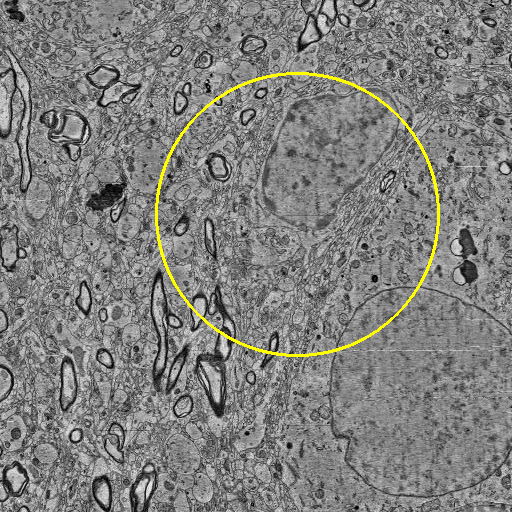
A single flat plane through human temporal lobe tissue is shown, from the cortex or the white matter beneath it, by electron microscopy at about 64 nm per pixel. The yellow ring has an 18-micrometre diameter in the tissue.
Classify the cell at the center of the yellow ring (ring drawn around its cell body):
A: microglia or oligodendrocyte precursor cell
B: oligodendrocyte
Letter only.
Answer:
A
